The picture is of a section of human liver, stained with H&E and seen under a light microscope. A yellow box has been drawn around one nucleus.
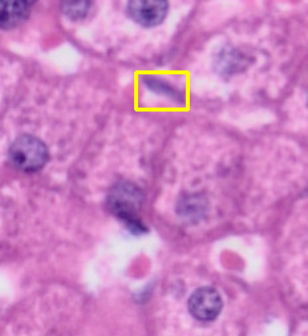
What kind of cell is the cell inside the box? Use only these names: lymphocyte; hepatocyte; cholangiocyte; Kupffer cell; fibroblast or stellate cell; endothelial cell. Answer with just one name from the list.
Kupffer cell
